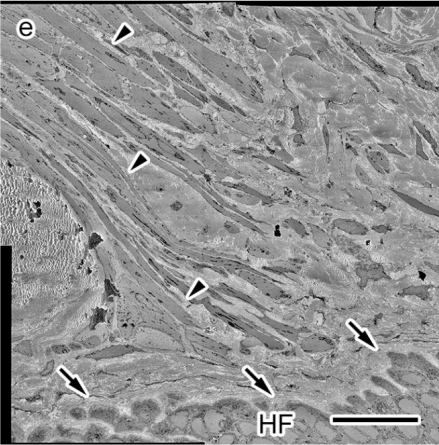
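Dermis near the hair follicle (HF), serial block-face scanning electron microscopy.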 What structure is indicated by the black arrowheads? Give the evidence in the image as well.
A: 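Long, slender, spindle-shaped cells lie in parallel streams. Elongated nuclei lie within the spindle-shaped cells. The streams run down toward the epithelium at the lower edge. So: muscle fibers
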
